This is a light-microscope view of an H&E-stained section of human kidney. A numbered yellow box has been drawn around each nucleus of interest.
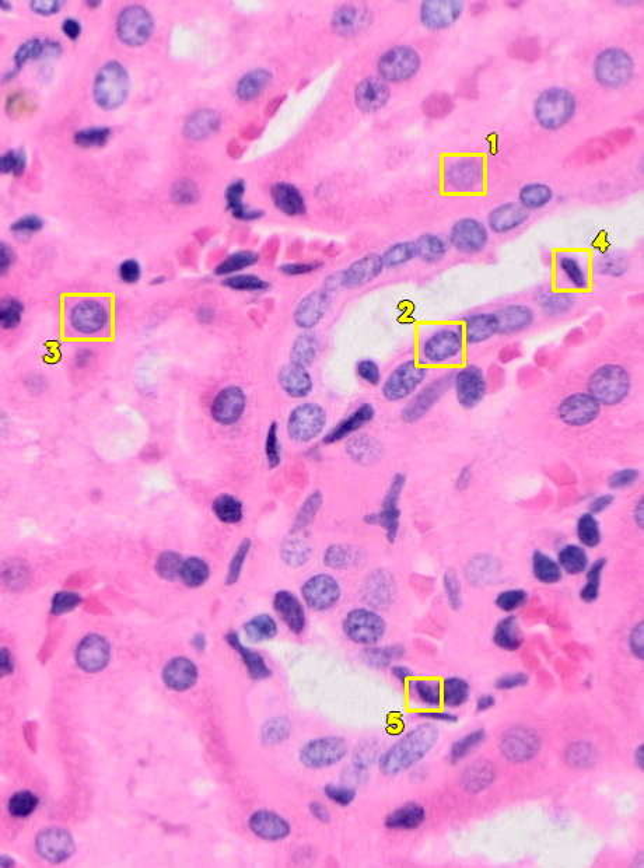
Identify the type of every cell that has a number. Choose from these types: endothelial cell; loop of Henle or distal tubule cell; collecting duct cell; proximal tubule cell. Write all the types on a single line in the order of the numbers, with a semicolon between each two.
proximal tubule cell; collecting duct cell; proximal tubule cell; collecting duct cell; collecting duct cell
